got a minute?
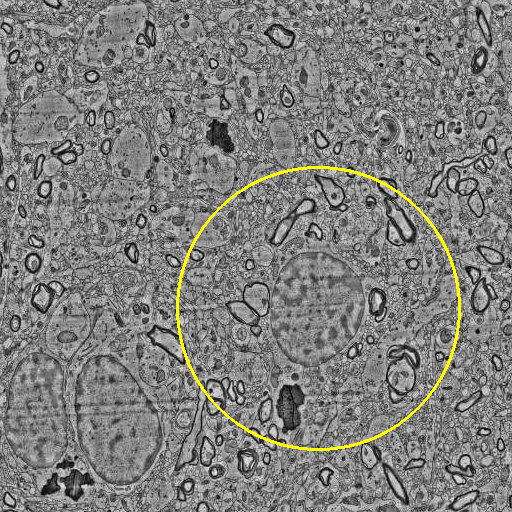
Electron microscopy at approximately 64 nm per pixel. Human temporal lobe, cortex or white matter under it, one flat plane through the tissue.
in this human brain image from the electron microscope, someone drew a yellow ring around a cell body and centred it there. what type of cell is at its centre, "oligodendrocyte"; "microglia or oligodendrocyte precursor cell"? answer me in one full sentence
It's an oligodendrocyte at the middle of that yellow ring in the shot.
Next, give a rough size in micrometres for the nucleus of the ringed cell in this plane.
The nucleus measures about 7 by 6 micrometres in this plane.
